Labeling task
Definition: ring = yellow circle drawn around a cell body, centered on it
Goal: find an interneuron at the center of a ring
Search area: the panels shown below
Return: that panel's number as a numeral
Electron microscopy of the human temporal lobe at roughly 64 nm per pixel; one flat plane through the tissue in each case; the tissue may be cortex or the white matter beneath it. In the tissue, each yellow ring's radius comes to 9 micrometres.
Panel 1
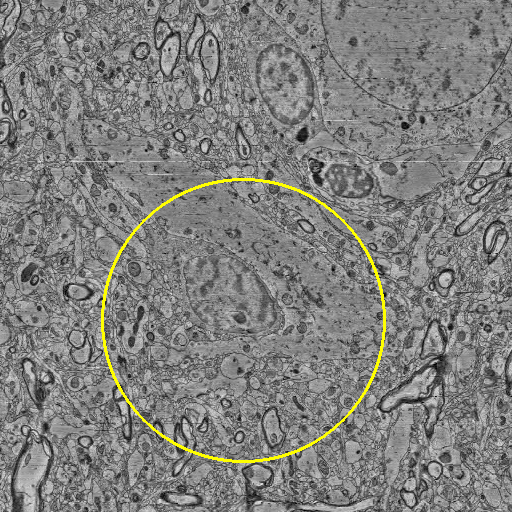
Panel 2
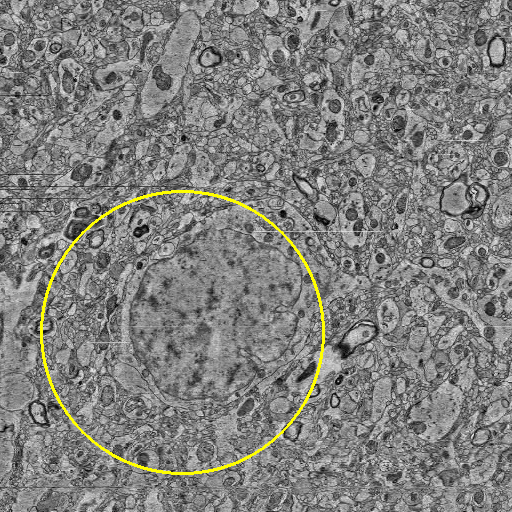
2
